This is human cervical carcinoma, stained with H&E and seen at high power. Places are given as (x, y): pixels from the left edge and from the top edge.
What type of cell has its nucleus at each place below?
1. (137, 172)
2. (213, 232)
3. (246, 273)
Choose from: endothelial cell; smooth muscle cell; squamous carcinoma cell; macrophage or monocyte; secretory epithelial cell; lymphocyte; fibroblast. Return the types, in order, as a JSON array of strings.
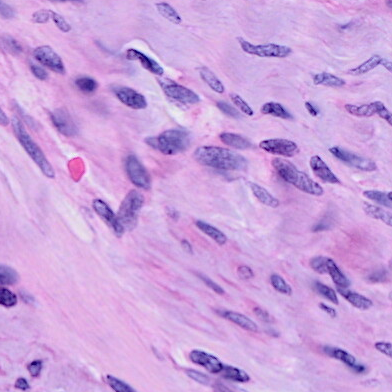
["endothelial cell", "smooth muscle cell", "smooth muscle cell"]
